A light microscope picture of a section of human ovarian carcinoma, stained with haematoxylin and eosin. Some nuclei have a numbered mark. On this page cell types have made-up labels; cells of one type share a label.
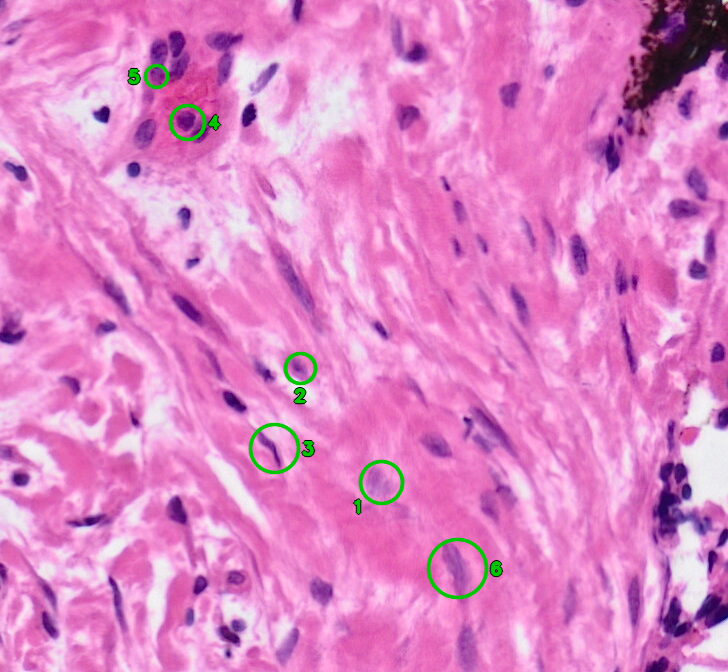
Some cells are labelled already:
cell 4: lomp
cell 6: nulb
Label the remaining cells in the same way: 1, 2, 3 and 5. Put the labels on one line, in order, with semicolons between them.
nulb; nulb; nulb; lomp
